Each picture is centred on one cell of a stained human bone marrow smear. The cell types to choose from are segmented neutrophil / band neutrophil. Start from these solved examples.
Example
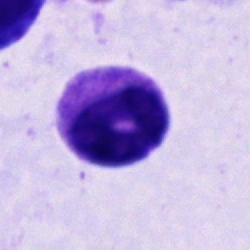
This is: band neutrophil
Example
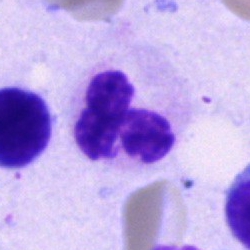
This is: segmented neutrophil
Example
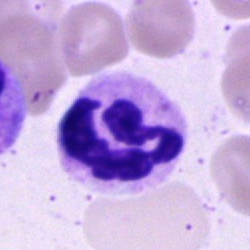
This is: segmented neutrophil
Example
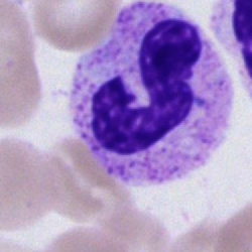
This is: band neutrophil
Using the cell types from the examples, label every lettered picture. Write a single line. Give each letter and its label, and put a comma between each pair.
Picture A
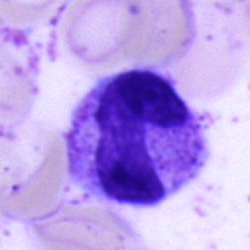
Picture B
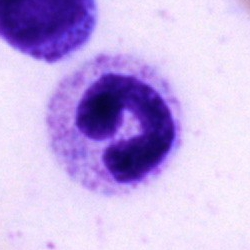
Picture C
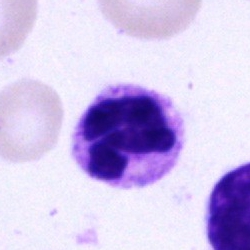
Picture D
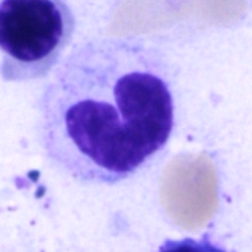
A band neutrophil, B band neutrophil, C segmented neutrophil, D band neutrophil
